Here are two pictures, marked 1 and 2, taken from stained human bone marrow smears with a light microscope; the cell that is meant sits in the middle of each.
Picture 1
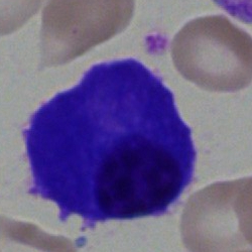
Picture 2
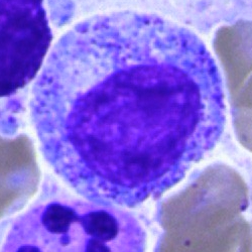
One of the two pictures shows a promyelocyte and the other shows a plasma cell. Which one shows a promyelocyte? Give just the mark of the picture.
2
